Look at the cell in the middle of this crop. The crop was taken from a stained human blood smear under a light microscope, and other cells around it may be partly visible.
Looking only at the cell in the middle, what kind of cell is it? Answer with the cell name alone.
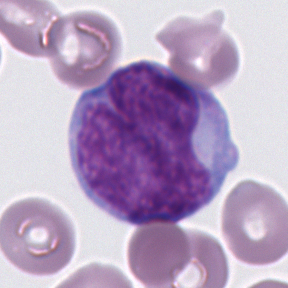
atypical promyelocyte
